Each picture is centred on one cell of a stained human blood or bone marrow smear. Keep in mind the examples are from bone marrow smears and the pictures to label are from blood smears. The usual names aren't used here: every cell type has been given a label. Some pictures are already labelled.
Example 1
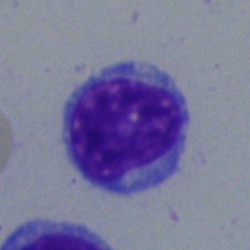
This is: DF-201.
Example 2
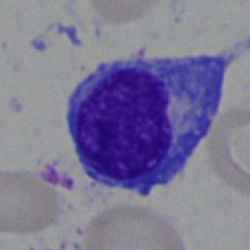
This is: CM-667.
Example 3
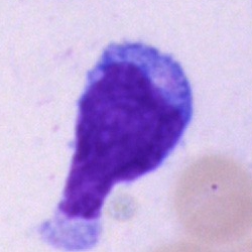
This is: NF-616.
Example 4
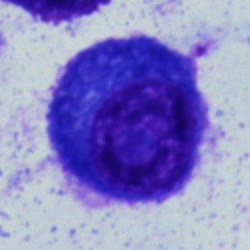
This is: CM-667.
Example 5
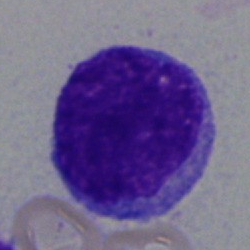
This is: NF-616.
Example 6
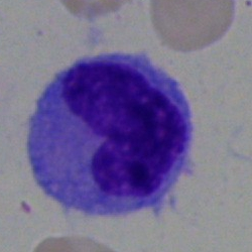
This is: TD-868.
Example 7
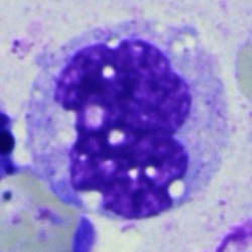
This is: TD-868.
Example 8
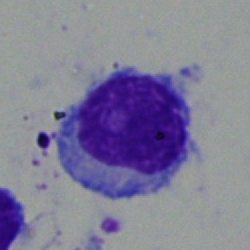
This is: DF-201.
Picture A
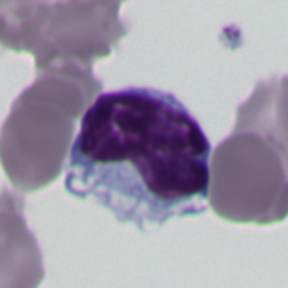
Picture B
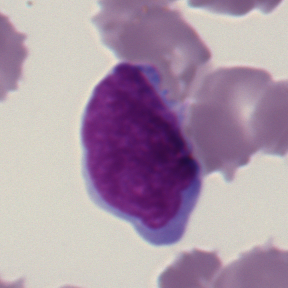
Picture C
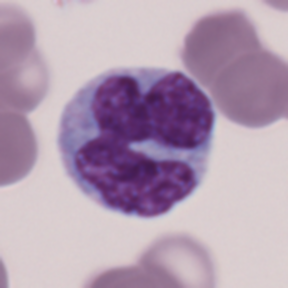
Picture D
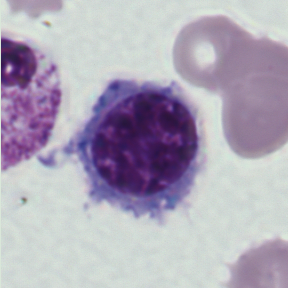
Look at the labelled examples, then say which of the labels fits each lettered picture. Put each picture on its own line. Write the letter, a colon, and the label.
A: TD-868.
B: NF-616.
C: TD-868.
D: CM-667.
